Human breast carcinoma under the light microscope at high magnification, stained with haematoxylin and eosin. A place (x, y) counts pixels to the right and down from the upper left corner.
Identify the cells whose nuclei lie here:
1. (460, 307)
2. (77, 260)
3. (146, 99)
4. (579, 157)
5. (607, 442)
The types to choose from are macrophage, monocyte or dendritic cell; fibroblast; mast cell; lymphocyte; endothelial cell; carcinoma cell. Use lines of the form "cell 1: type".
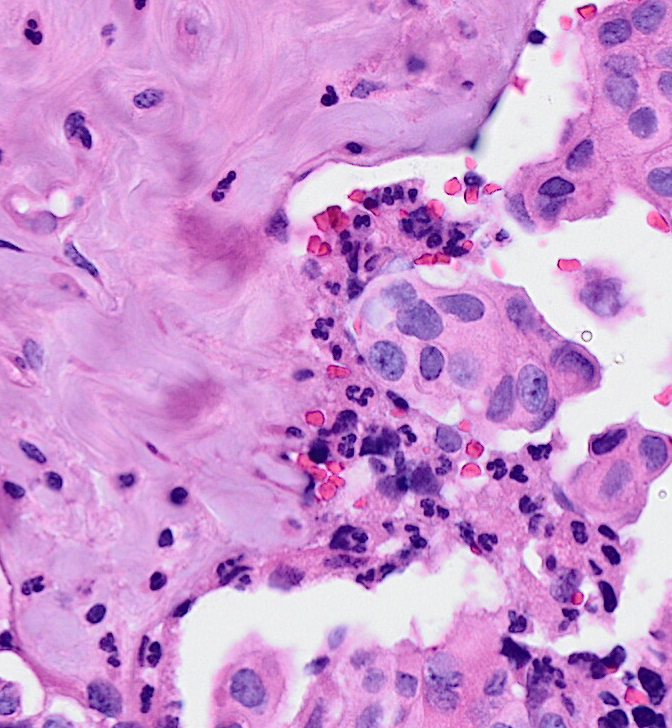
cell 1: carcinoma cell
cell 2: fibroblast
cell 3: mast cell
cell 4: carcinoma cell
cell 5: carcinoma cell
